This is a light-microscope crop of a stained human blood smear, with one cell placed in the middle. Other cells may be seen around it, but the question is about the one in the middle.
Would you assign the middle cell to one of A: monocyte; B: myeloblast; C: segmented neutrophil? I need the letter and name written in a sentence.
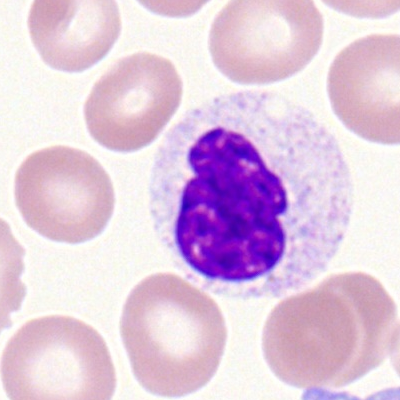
At the centre of the crop lies a segmented neutrophil, which makes option C correct.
